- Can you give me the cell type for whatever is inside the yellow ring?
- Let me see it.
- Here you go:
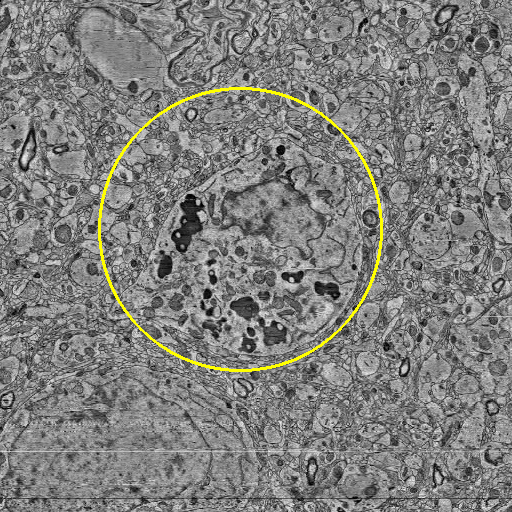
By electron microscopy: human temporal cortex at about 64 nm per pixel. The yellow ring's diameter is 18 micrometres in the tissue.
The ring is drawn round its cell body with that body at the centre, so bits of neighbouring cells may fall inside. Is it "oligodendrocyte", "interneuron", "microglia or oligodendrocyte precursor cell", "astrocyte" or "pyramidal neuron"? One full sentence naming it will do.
The cell body in the middle of the ring in this picture belongs to an interneuron.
